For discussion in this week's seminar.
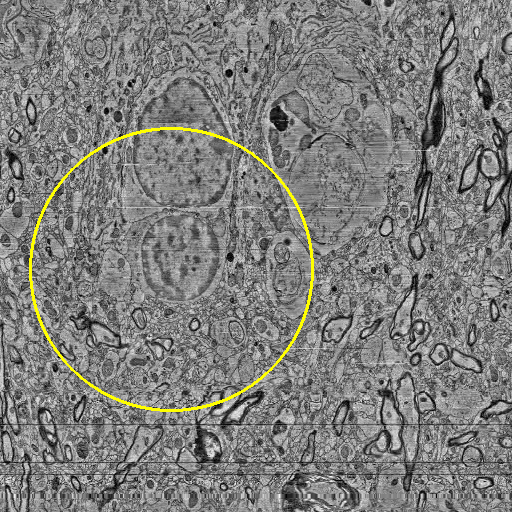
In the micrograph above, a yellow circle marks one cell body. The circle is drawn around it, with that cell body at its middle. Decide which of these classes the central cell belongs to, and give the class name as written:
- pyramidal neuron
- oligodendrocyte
oligodendrocyte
